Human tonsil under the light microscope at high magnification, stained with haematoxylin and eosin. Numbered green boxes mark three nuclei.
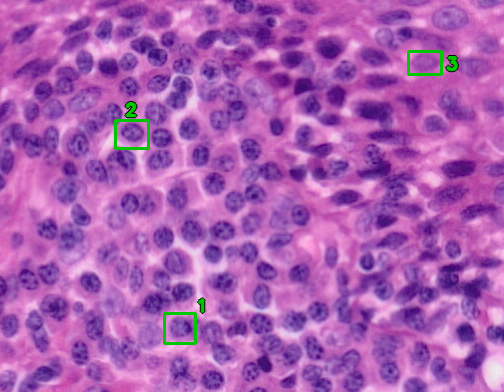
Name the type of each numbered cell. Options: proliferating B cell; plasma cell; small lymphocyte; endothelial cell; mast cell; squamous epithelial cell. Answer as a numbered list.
1. plasma cell
2. plasma cell
3. squamous epithelial cell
